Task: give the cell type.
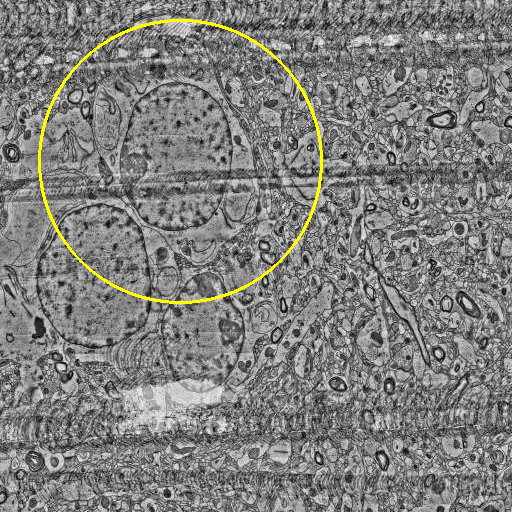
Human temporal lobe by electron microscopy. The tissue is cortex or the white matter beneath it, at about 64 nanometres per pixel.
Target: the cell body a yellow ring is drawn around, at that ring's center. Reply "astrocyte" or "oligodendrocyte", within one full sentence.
In this picture, the cell whose body lies at the ring's center is an astrocyte.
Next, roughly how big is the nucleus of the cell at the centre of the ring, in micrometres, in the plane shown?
The nucleus is approximately 9 micrometers long by 7 micrometers wide in this plane.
